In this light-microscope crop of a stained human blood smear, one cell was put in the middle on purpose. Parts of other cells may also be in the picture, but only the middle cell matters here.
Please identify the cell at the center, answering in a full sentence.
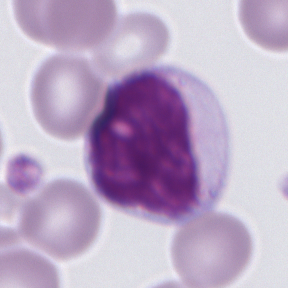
Present in the middle of the crop is a large granular lymphocyte.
